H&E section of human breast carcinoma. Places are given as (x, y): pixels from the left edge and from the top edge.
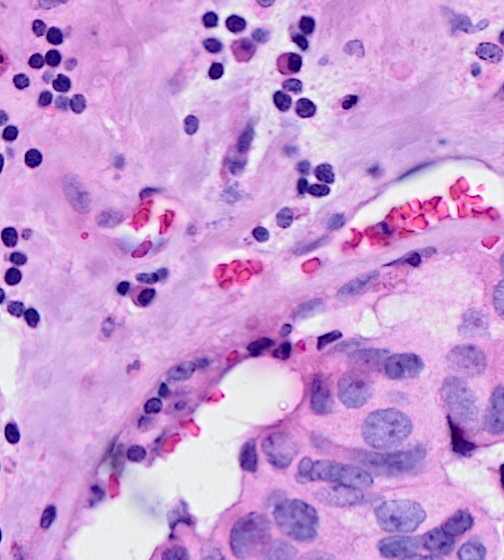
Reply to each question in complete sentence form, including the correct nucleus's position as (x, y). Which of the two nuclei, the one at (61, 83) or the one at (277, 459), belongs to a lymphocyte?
Of these two nuclei, only the one at (61, 83) belongs to a lymphocyte.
